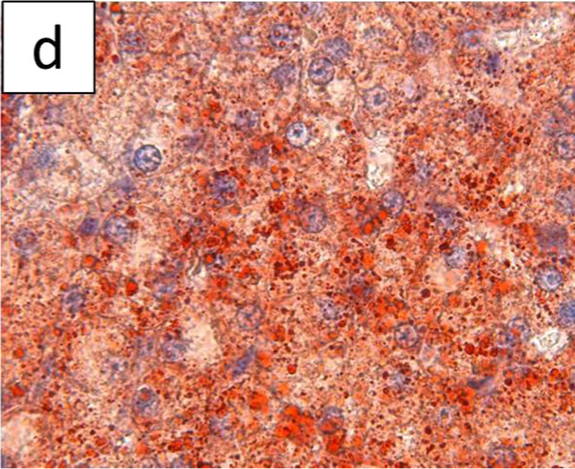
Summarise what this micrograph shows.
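Liver tissue in which the hepatocytes are crowded with numerous red-orange droplets of varying size, from fine granules to larger round drops. Round blue nuclei with visible nucleoli lie among the droplets, and the red material covers much of the field.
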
